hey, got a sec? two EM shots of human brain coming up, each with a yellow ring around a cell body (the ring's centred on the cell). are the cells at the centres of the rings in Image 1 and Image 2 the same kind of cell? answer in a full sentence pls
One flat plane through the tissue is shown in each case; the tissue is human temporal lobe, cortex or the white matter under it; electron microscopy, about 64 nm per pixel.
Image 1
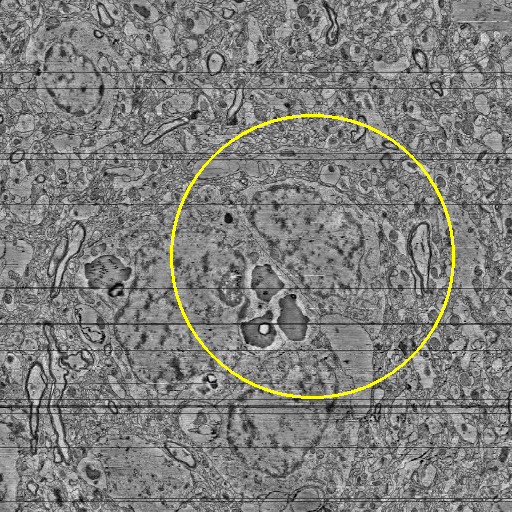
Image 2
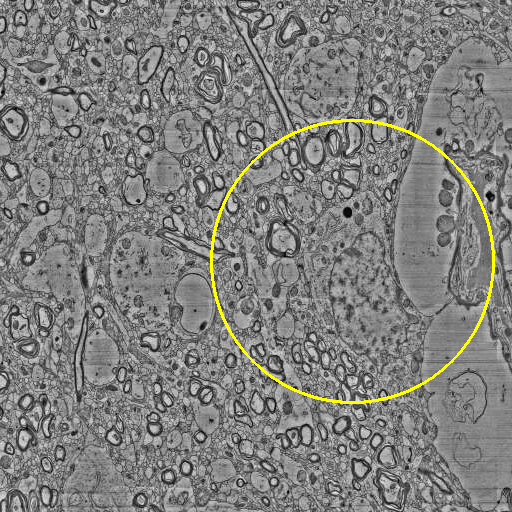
Yes, both are the same kind of cell.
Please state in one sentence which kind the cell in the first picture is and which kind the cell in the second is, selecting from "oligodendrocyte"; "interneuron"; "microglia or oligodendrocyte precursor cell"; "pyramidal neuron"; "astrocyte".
The cell at the ring centre is an interneuron in both pictures.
